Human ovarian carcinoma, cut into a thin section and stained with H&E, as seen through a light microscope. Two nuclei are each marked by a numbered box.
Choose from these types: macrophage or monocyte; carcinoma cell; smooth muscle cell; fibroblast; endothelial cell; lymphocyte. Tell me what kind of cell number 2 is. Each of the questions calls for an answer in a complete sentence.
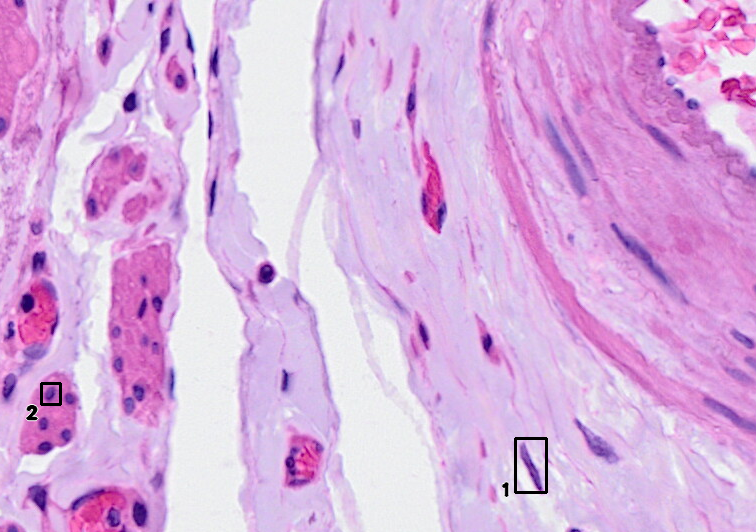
The cell whose nucleus carries the number 2 is a smooth muscle cell.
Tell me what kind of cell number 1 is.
The expected answer is that cell 1 is a fibroblast.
